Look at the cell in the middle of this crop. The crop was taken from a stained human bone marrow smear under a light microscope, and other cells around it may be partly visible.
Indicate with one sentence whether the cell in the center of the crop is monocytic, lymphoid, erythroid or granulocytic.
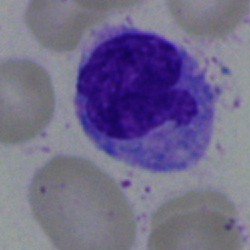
In lineage, the cell at the crop's center is monocytic.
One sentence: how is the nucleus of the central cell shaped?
What stands out is a nucleus forming one compact round, oval or kidney-shaped mass.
